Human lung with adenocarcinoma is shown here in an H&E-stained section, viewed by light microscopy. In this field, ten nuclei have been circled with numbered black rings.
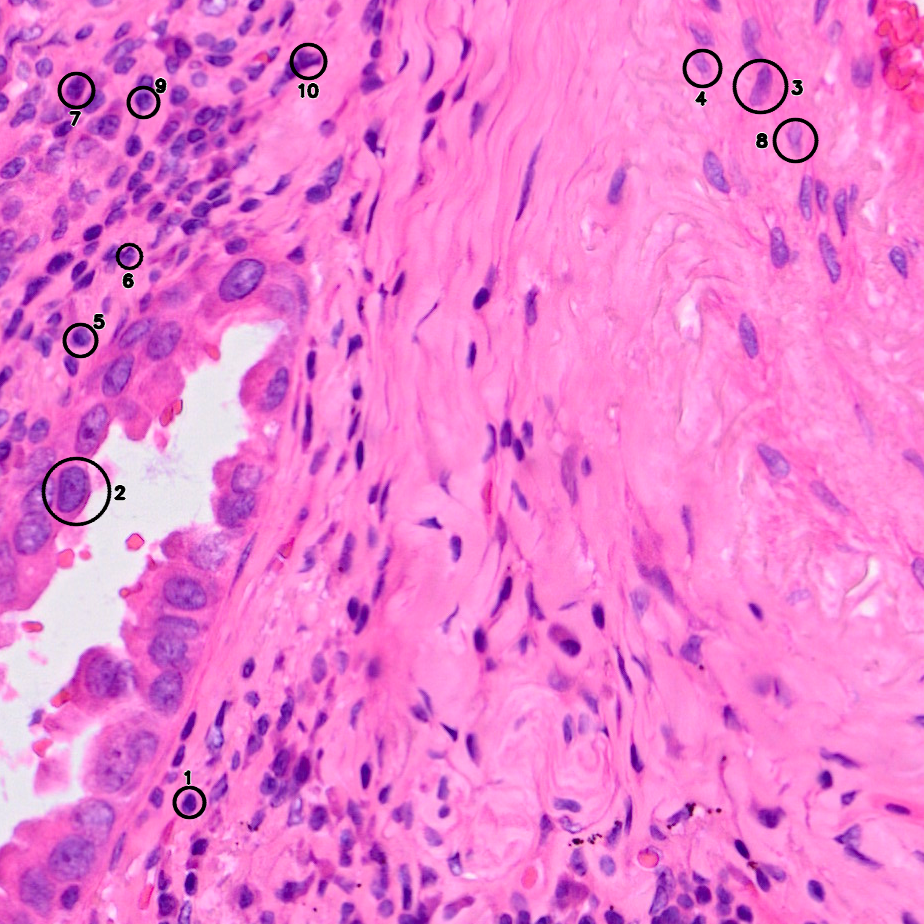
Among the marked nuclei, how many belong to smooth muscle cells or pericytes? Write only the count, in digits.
3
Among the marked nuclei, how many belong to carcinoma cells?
1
